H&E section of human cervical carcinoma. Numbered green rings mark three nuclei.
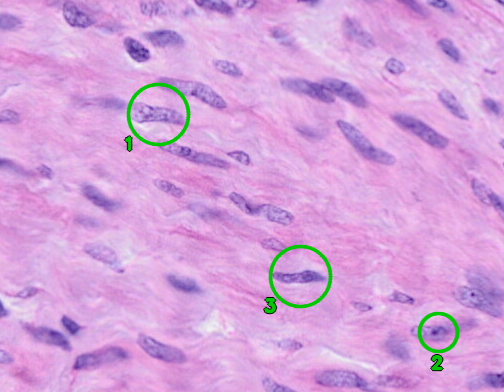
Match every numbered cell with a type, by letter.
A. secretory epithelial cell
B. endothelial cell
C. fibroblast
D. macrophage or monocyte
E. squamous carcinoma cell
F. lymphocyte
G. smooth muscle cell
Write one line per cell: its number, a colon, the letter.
1: C
2: G
3: C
